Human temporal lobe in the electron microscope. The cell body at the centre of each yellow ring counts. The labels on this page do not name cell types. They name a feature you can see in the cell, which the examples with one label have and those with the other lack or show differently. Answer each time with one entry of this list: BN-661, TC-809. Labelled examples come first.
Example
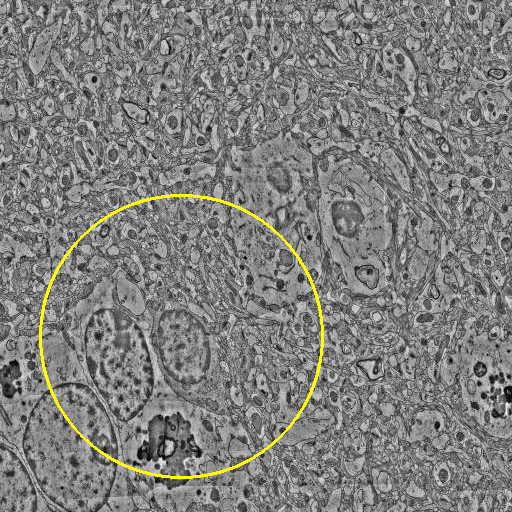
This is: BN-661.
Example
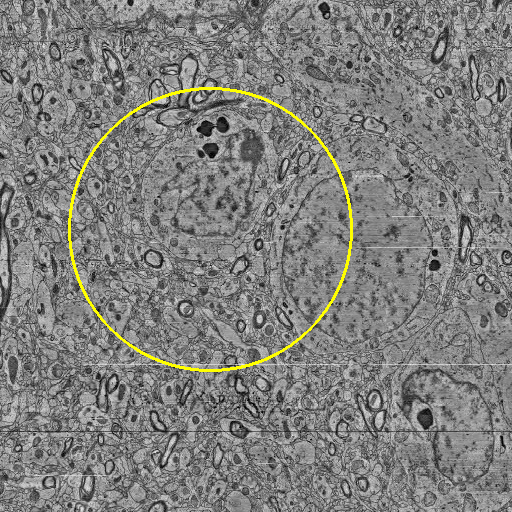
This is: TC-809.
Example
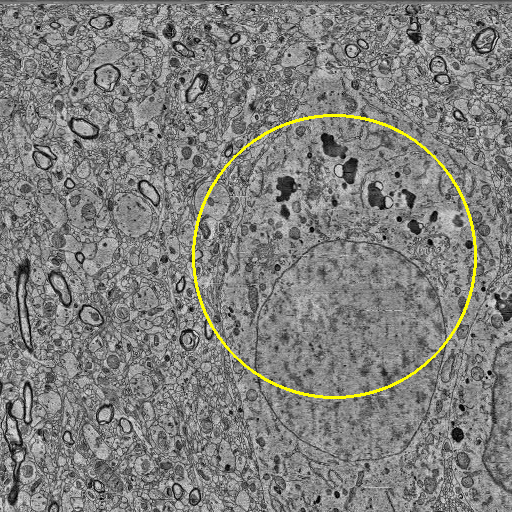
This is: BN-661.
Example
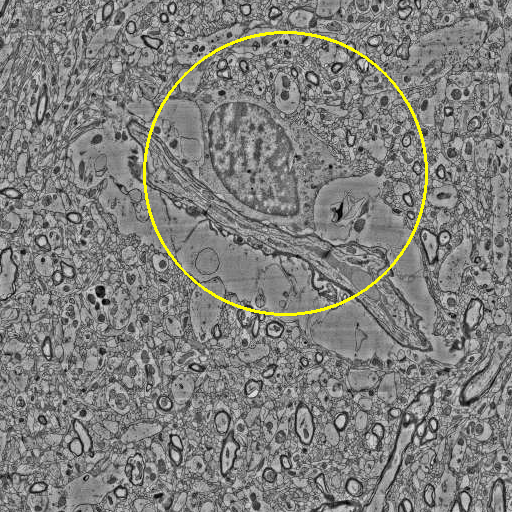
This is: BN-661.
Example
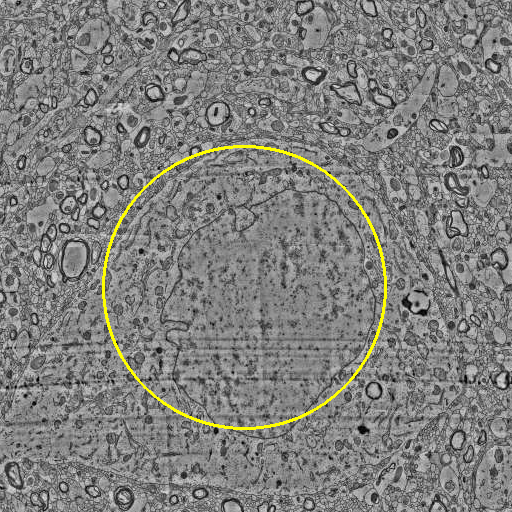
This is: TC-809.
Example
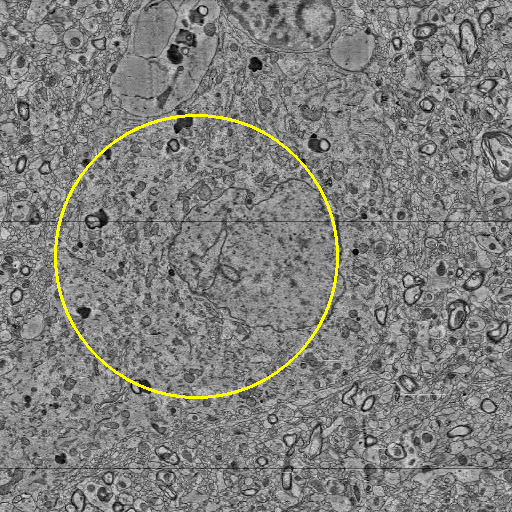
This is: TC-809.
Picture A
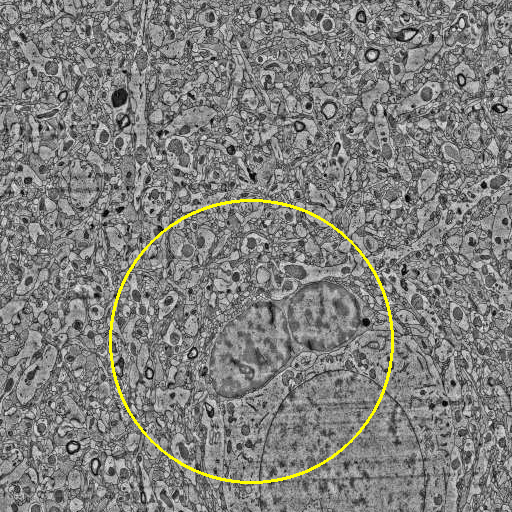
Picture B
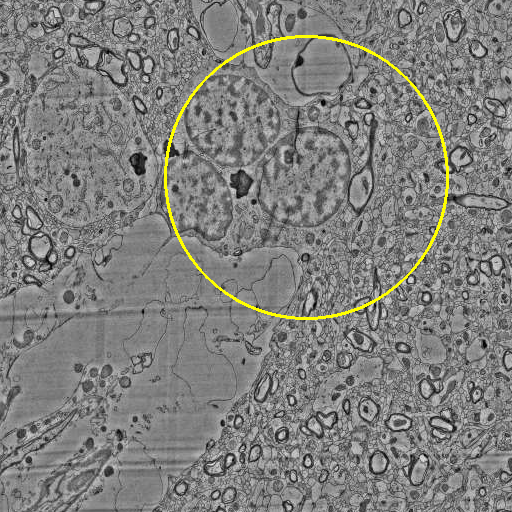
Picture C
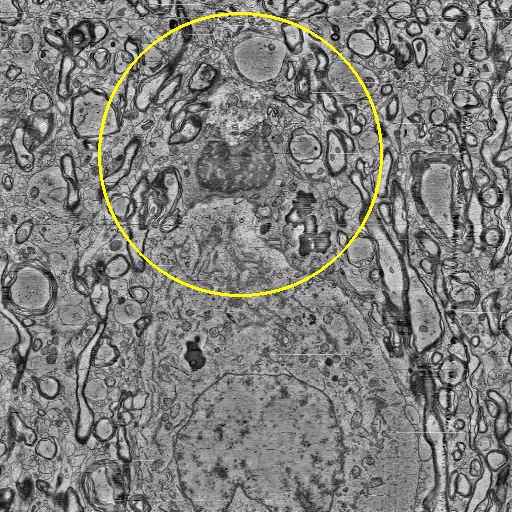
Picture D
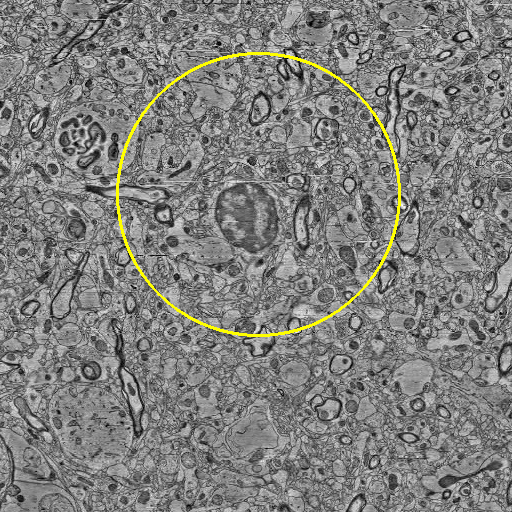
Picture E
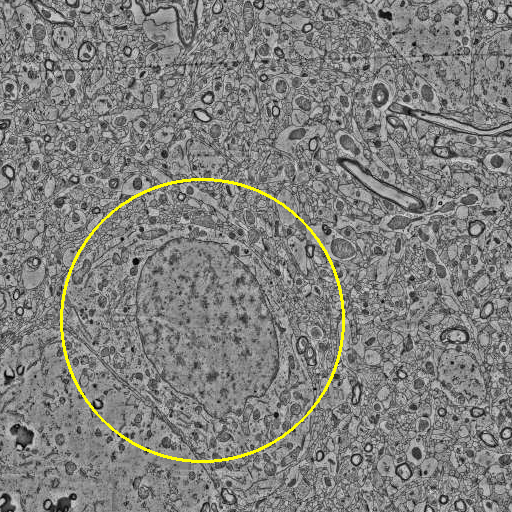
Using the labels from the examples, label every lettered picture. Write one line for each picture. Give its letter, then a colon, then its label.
A: TC-809.
B: TC-809.
C: TC-809.
D: BN-661.
E: BN-661.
